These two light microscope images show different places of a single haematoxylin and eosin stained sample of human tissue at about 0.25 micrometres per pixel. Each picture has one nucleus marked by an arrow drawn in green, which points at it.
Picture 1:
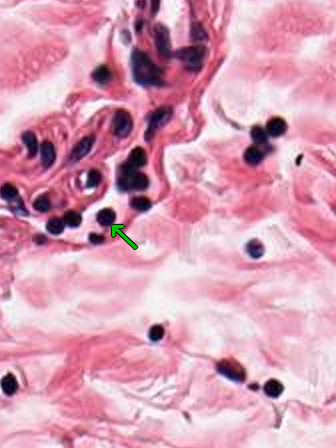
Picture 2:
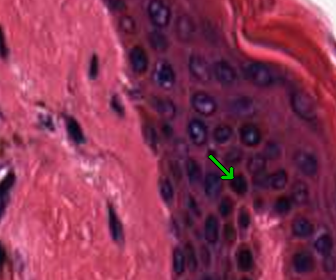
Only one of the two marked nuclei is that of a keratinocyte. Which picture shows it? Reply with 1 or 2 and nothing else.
2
